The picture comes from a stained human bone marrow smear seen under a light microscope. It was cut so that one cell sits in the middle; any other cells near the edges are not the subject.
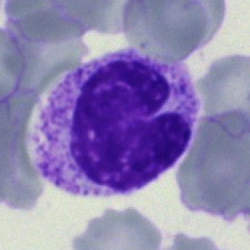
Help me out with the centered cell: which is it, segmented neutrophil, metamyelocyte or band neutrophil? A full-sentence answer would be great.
The middle of this crop holds a metamyelocyte.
